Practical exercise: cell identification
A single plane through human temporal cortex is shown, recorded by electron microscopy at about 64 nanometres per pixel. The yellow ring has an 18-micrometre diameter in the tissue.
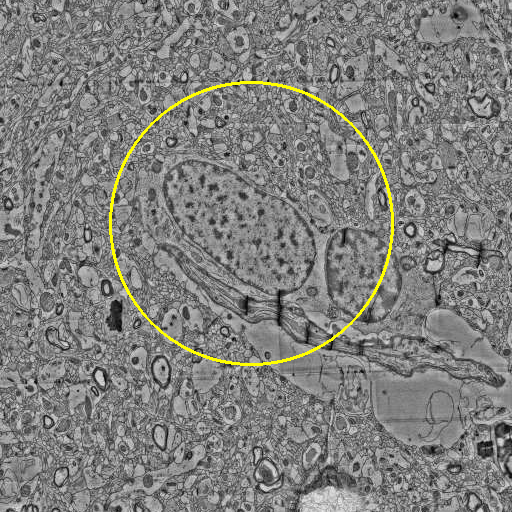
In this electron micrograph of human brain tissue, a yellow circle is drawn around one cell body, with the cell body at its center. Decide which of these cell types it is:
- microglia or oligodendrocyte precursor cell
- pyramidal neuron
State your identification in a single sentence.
The ringed cell is a microglial cell or oligodendrocyte precursor cell.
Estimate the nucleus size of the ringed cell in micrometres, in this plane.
About 11 by 6 micrometres; in this plane the nucleus is clearly longer than it is wide.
